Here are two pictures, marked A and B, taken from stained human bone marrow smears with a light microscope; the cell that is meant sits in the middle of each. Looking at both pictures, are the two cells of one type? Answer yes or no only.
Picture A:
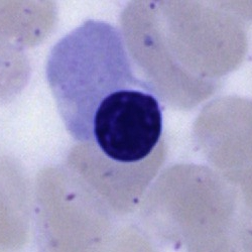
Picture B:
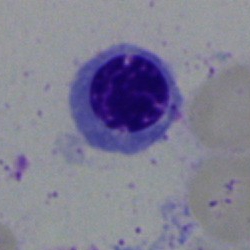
yes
